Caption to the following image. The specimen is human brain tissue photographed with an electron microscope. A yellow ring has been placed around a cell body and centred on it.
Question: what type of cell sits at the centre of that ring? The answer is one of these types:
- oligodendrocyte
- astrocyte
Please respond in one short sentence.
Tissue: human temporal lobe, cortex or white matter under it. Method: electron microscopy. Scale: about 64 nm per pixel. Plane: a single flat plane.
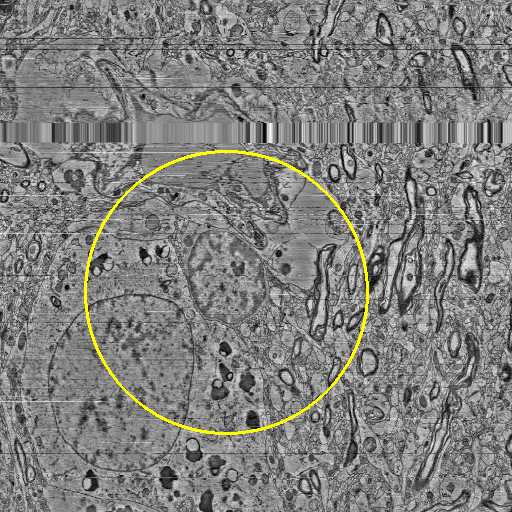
The ring surrounds the cell body of an oligodendrocyte.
